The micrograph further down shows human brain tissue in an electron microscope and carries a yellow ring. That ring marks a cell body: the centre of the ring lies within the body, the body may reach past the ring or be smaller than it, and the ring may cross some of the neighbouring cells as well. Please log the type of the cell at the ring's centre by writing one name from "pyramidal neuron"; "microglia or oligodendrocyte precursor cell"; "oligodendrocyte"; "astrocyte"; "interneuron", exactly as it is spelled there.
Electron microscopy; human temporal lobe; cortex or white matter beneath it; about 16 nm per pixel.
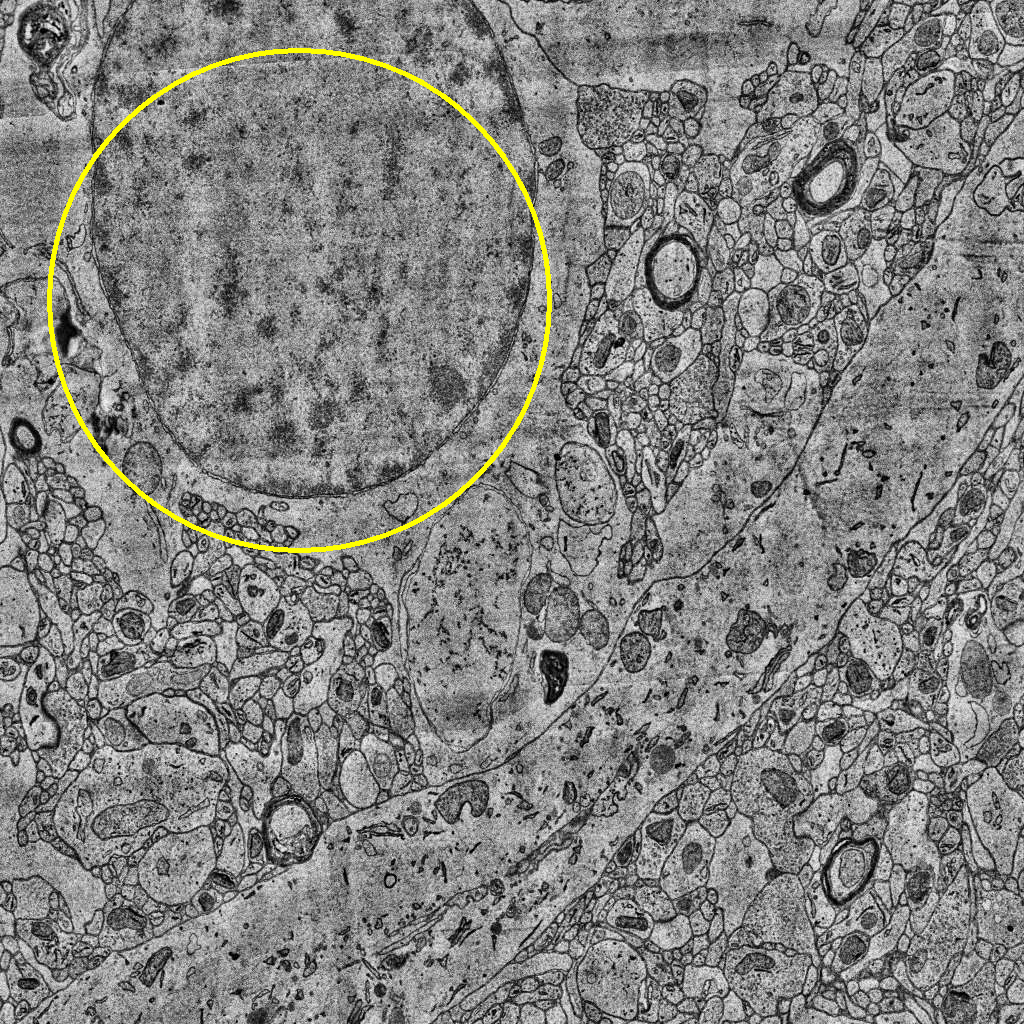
astrocyte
